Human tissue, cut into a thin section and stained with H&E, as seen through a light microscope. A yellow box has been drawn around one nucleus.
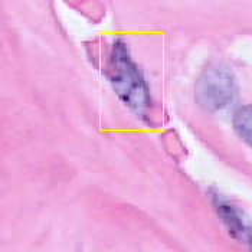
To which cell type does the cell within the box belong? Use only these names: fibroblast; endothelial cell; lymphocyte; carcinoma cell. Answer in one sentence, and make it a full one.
In the stained section, the cell within the box is an endothelial cell.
